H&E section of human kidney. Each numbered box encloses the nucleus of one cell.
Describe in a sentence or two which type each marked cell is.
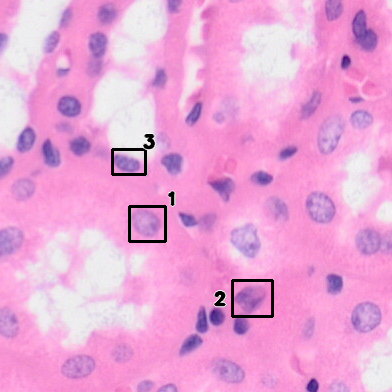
Cells 1 and 2 are proximal tubule cells. Cell 3 is a loop of Henle or distal tubule cell.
